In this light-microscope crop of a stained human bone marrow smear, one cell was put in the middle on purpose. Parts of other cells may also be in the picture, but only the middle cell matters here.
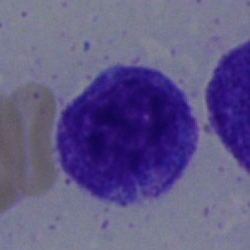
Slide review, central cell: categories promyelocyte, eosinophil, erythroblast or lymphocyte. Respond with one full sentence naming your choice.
As for the central cell, it is a promyelocyte.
